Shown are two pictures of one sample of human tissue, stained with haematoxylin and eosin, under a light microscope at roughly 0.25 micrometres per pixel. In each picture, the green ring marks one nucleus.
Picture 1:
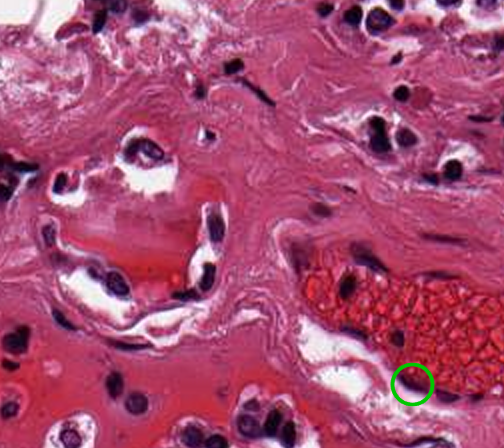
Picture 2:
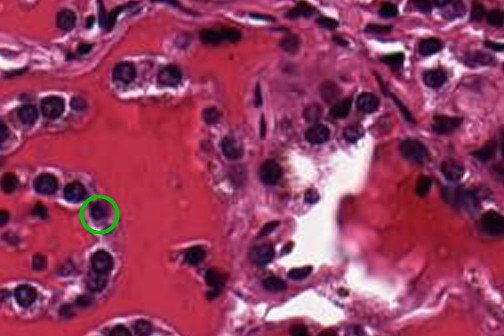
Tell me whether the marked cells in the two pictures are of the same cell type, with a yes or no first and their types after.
No, the first is an endothelial cell and the second a thyroid follicular cell.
